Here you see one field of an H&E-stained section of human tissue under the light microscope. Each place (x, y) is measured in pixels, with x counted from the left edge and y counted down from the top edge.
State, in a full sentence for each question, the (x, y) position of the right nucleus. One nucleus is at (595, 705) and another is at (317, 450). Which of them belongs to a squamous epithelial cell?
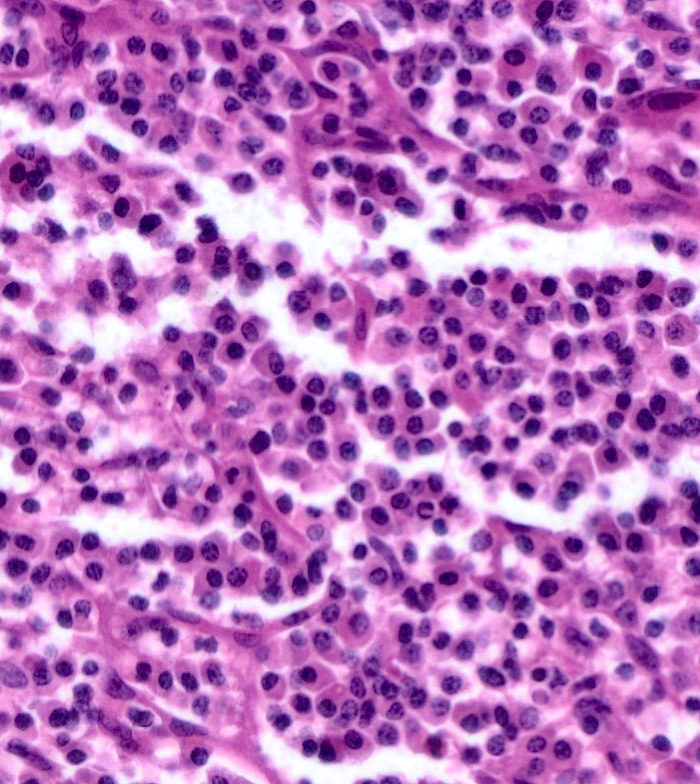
As for which of the two, the nucleus at (595, 705) belongs to a squamous epithelial cell.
